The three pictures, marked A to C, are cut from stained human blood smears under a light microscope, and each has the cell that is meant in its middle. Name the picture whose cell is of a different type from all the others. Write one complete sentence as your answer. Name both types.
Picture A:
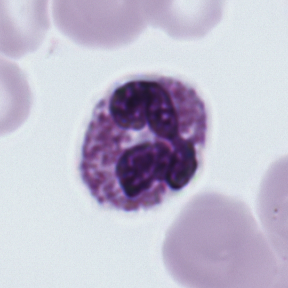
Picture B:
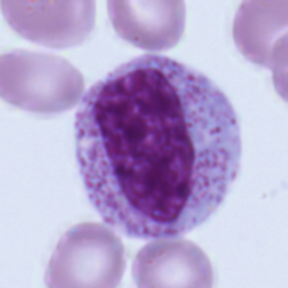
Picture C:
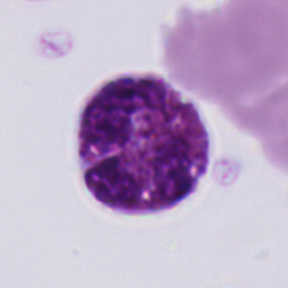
The different one is picture B; it shows a myelocyte, whereas all the others show eosinophils.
